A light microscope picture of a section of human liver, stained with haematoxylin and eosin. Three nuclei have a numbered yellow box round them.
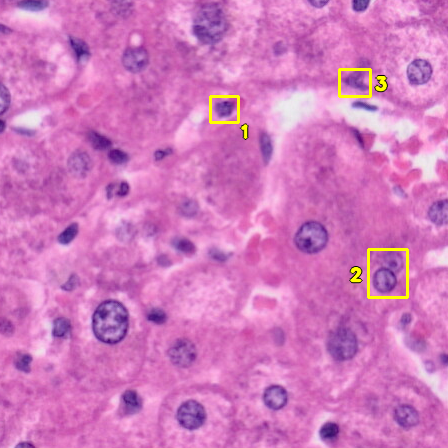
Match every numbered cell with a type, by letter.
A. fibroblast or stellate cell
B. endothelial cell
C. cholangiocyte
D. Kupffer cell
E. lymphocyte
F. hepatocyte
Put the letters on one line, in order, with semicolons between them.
E; F; A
